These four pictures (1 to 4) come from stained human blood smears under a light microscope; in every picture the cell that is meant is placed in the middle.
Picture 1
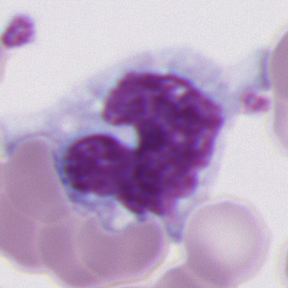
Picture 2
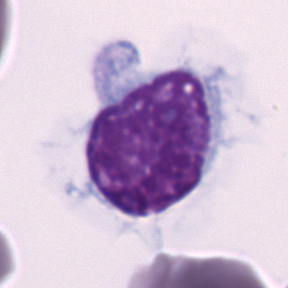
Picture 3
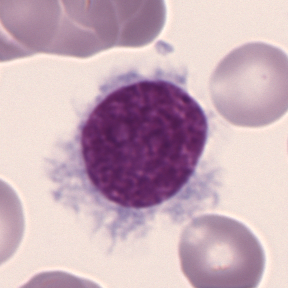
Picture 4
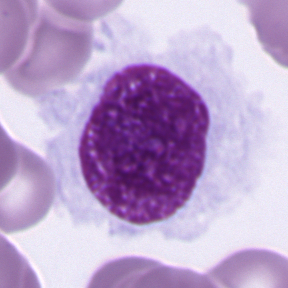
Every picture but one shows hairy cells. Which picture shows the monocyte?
1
